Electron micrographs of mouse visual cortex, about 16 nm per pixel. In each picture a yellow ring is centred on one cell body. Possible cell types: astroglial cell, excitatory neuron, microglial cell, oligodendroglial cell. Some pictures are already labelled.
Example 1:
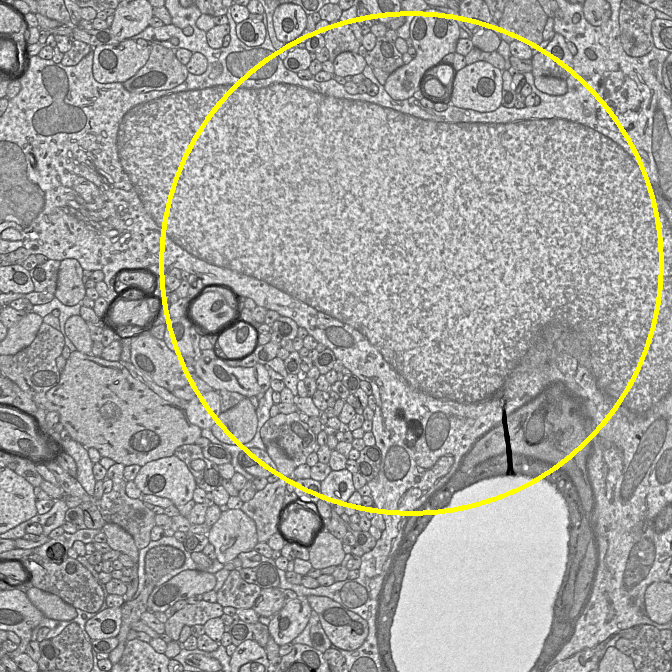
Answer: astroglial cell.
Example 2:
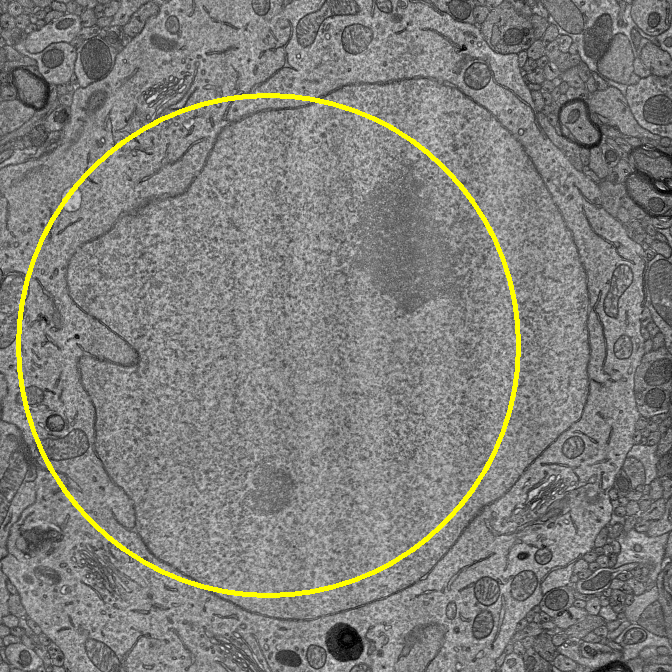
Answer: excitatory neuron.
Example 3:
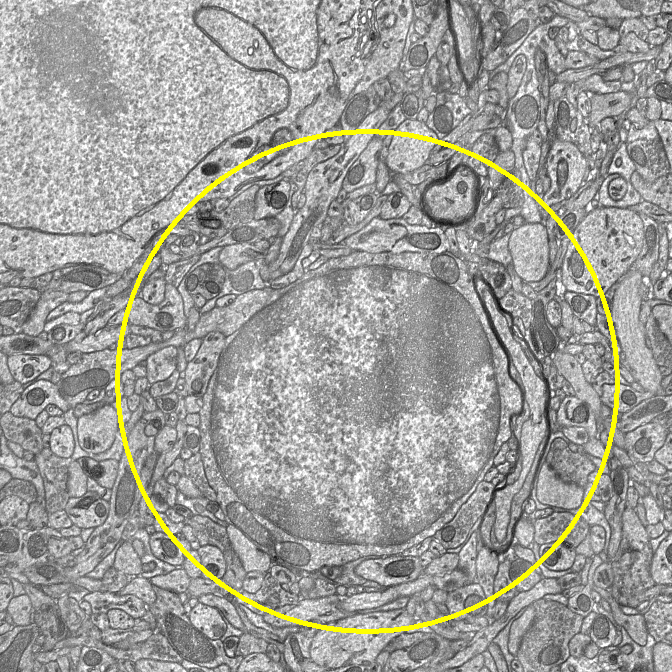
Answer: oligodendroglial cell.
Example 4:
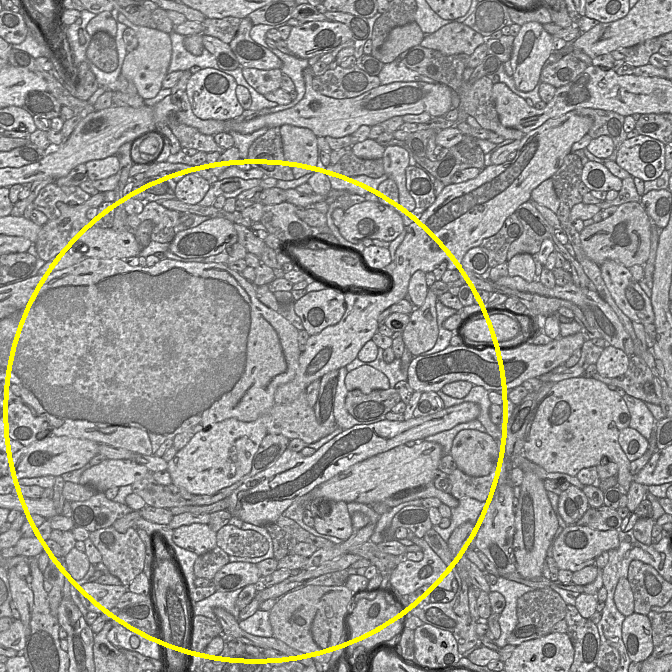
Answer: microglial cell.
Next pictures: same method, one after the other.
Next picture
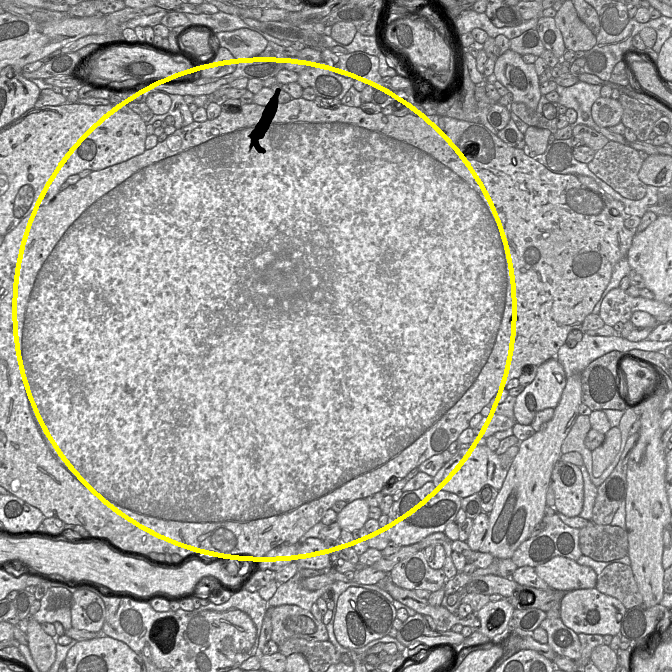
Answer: oligodendroglial cell.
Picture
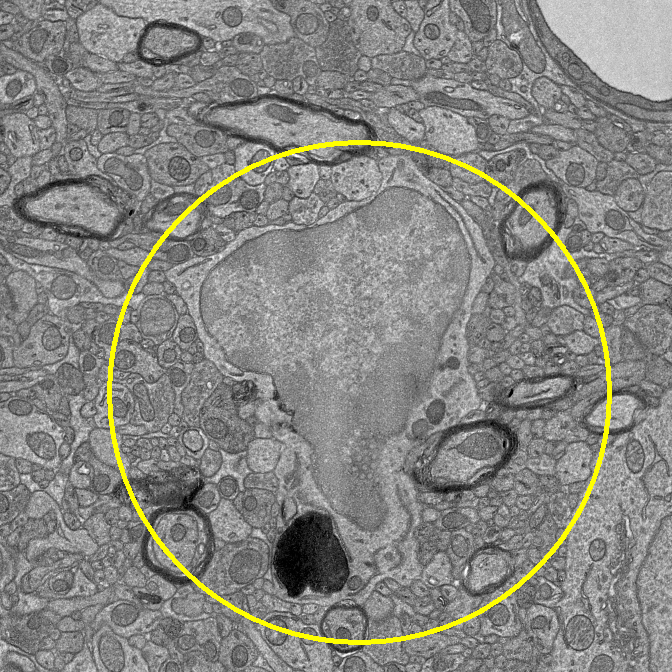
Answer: microglial cell.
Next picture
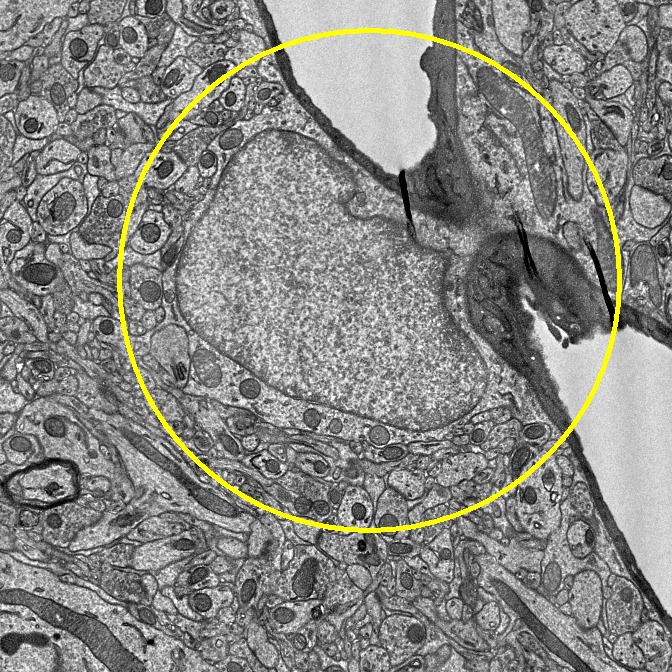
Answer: astroglial cell.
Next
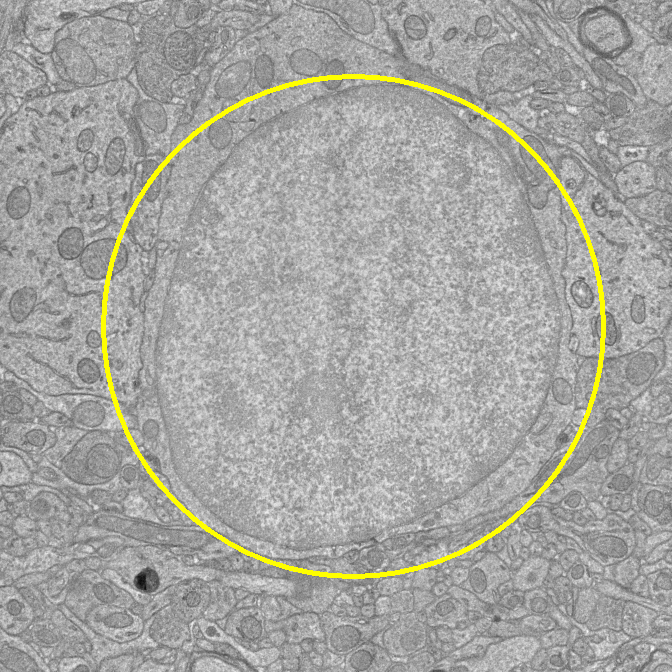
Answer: oligodendroglial cell.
